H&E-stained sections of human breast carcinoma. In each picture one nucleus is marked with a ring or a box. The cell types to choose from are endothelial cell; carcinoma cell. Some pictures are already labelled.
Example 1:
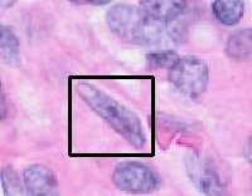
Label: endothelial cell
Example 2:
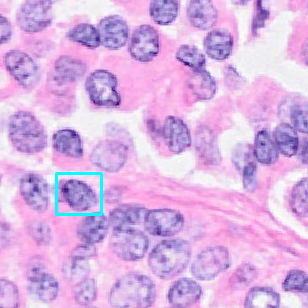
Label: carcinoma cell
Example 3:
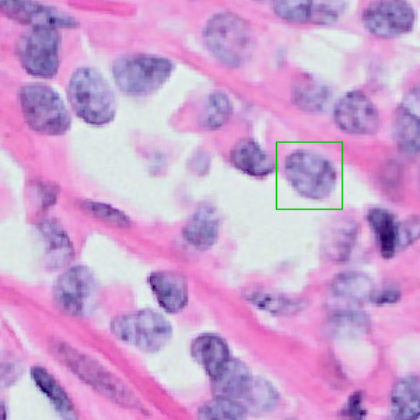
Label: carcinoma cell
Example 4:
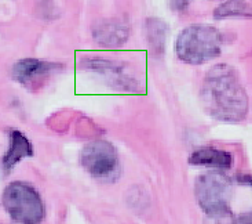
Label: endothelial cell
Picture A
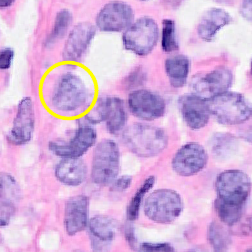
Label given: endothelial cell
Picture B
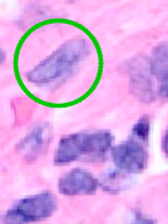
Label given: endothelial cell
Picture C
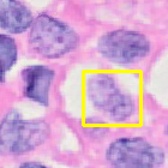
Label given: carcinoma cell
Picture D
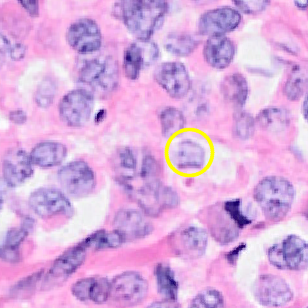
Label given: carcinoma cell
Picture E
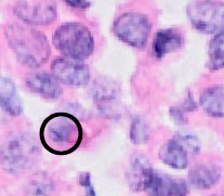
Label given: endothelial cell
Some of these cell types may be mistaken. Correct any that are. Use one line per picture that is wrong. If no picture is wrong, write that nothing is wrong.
Wrong: A (endothelial cell); correct: carcinoma cell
